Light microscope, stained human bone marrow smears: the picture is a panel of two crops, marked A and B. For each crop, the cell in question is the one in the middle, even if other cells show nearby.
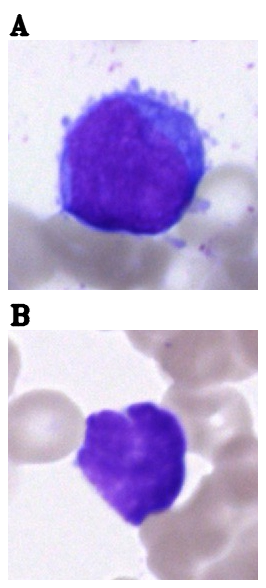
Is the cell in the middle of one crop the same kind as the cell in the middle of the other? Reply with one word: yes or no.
no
